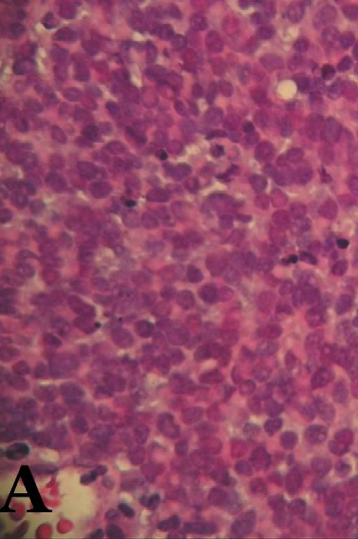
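A tumor made of densely packed, monotonous round cells arranged in solid sheets. A few small, dark, shrunken nuclei are scattered among them, and red blood cells lie in a small vessel at the lower left.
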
